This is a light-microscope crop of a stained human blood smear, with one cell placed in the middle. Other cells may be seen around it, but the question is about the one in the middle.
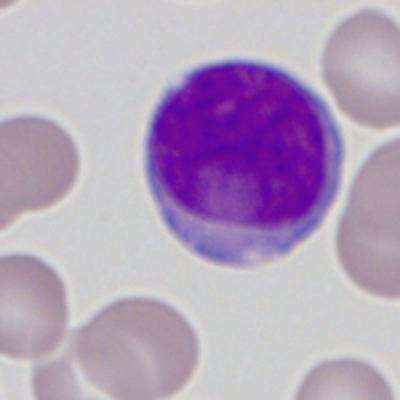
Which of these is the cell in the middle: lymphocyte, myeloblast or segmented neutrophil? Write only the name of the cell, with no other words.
myeloblast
